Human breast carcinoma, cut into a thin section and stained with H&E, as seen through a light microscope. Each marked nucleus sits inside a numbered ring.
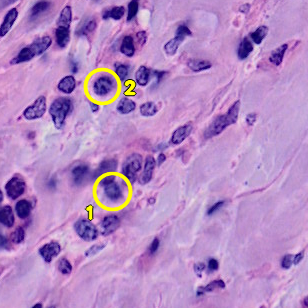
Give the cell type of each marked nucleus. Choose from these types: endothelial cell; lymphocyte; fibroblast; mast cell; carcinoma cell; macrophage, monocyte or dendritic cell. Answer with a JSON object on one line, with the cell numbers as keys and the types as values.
{"1": "lymphocyte", "2": "mast cell"}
